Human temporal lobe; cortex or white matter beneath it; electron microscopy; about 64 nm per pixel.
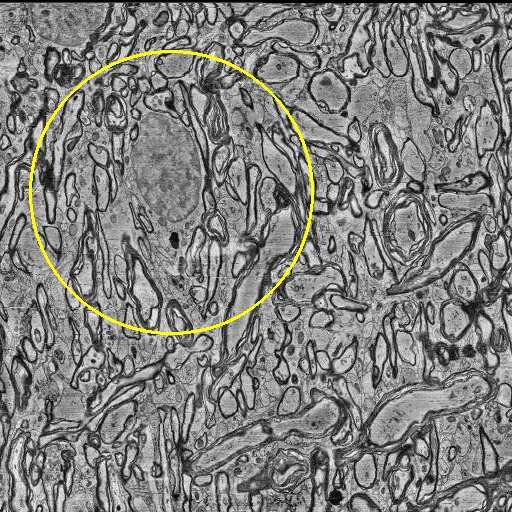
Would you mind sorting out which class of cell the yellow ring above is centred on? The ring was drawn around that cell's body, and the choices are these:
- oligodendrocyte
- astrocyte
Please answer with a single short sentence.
This is the cell body of an oligodendrocyte.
